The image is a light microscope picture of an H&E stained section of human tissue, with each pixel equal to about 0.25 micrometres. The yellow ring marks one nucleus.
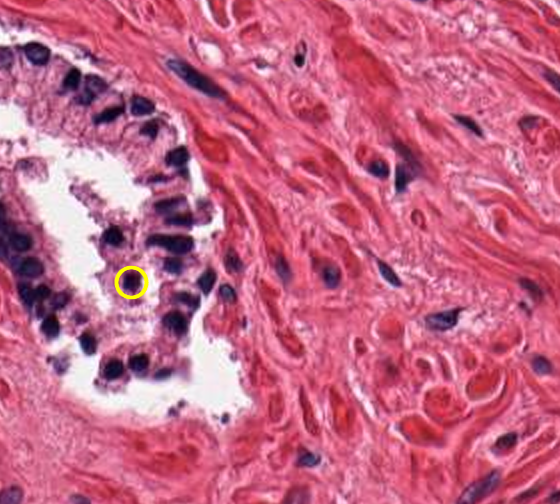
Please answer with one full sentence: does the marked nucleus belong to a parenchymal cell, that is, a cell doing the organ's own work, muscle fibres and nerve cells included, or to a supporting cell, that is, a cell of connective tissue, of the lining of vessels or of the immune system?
The marked nucleus is ascribed to a parenchymal cell, namely a prostate gland luminal cell.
